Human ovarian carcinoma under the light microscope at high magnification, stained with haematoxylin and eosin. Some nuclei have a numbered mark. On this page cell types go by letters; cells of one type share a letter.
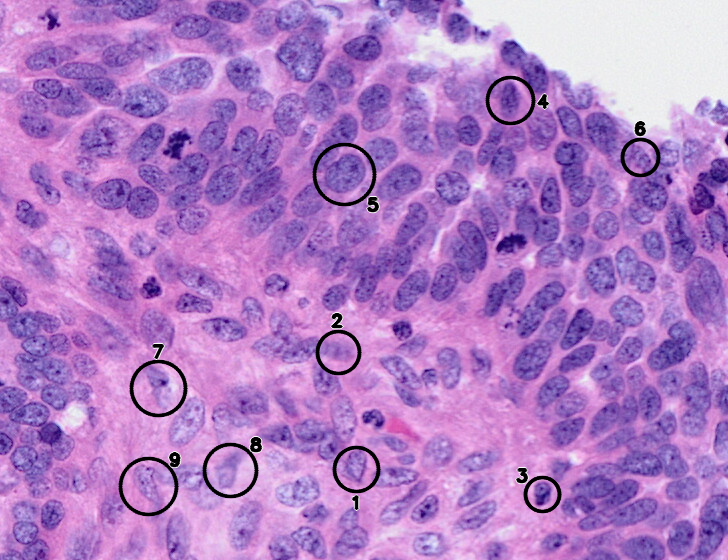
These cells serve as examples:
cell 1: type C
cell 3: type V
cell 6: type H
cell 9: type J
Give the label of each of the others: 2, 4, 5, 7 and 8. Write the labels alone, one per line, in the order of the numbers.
type J
type H
type H
type J
type J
